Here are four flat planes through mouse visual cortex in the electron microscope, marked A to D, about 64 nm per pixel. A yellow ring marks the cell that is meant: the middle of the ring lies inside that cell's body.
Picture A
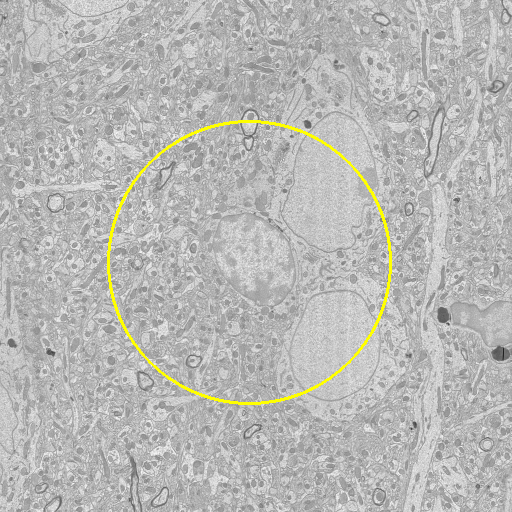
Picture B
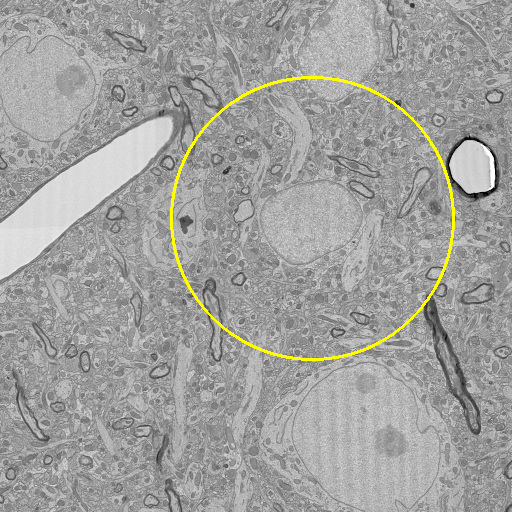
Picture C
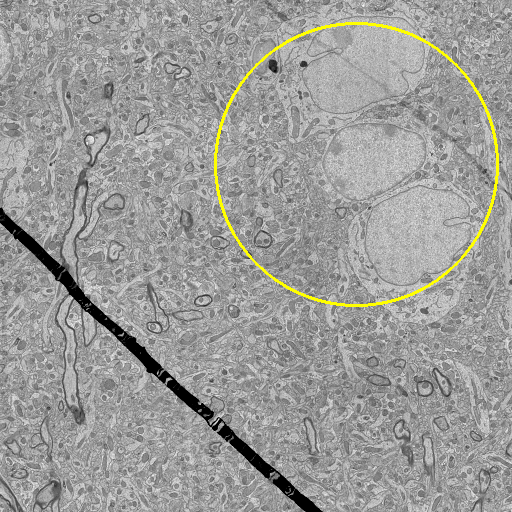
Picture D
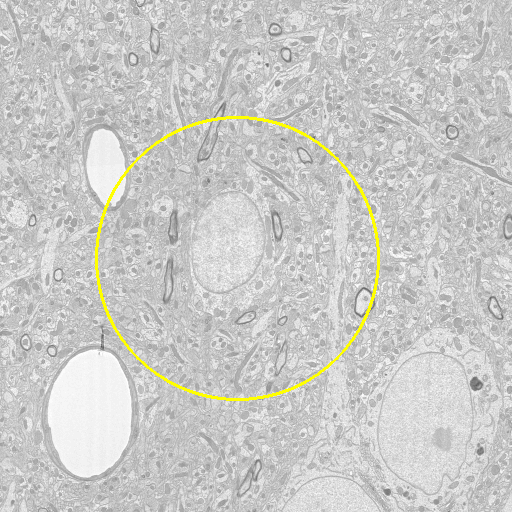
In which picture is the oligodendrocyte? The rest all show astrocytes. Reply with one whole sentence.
The cell in picture A is the oligodendrocyte.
